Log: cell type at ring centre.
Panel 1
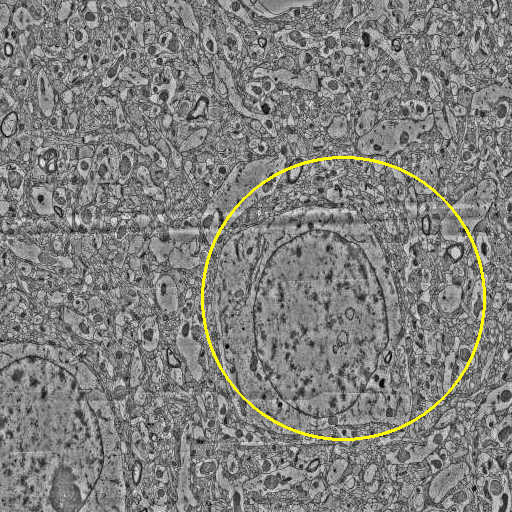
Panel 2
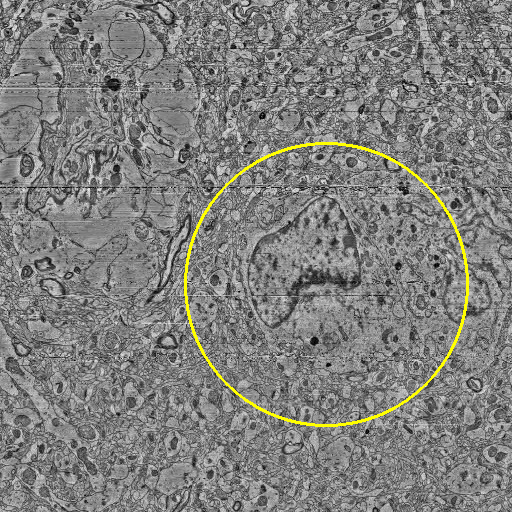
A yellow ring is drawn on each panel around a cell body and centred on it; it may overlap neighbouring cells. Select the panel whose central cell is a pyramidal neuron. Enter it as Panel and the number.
Panel 1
